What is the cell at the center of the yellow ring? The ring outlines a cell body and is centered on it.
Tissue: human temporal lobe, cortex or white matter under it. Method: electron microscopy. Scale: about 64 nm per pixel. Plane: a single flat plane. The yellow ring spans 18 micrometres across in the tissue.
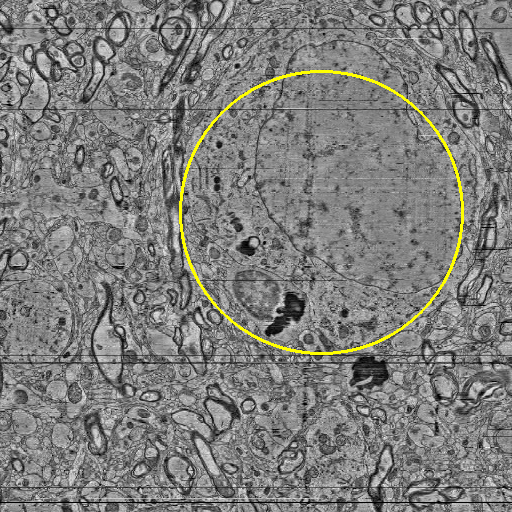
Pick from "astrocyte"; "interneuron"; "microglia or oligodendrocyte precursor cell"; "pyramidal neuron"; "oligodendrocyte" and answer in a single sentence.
The yellow ring is centered on a pyramidal neuron.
